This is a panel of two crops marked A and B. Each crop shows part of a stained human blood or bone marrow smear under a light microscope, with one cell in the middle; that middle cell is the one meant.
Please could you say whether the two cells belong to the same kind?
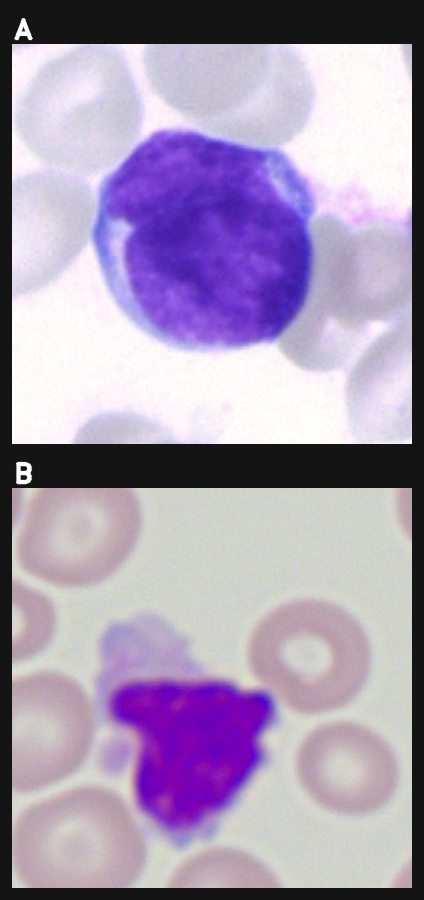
no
